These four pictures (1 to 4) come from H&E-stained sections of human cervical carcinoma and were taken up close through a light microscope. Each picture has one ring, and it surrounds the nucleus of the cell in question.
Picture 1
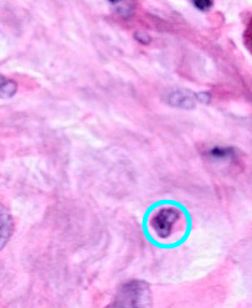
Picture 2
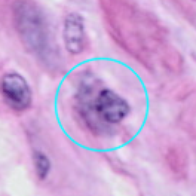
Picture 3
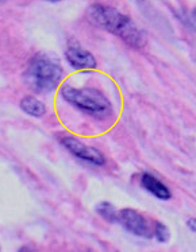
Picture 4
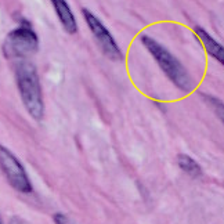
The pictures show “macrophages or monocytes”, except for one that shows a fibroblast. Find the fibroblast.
4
